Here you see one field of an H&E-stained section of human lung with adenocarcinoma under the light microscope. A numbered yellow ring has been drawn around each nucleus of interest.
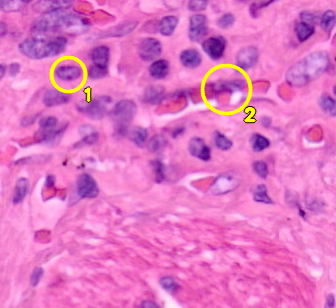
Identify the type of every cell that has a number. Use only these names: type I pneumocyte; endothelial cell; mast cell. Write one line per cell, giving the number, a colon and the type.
1: mast cell
2: endothelial cell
